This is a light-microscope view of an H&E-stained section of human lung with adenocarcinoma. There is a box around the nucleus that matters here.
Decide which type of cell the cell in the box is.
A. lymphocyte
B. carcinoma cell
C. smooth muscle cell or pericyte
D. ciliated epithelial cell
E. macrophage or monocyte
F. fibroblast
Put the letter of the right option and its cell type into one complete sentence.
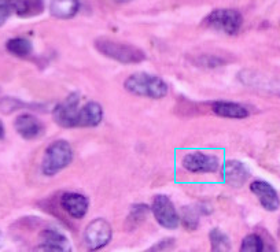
Answer with option A; the cell in the box is a lymphocyte.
